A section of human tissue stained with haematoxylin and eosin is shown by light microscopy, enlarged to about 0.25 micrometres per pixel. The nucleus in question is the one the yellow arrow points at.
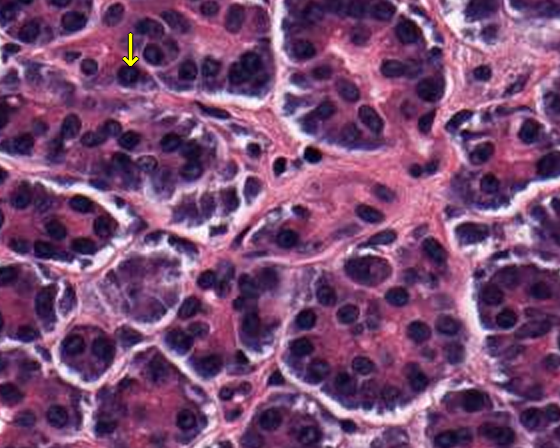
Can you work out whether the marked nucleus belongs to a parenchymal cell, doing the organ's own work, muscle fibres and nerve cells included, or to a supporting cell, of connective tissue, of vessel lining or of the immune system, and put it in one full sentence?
In the section shown, the marked nucleus belongs to a parenchymal cell, namely a pancreatic acinar cell.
